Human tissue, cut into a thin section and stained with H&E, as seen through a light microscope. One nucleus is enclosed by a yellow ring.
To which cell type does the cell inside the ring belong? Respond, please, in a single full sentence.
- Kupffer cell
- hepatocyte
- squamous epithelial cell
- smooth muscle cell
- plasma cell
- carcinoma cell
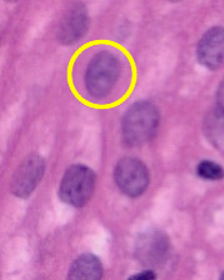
The cell type represented by the cell inside the ring is that of a squamous epithelial cell.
